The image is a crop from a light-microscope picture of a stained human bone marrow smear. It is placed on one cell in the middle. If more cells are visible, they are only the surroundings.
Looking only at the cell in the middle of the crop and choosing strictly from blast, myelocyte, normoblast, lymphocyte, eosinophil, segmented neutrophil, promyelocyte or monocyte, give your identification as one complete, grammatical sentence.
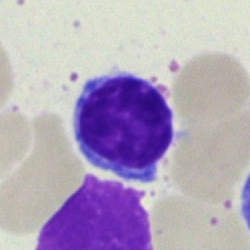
Framed in the middle of the crop is a lymphocyte.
